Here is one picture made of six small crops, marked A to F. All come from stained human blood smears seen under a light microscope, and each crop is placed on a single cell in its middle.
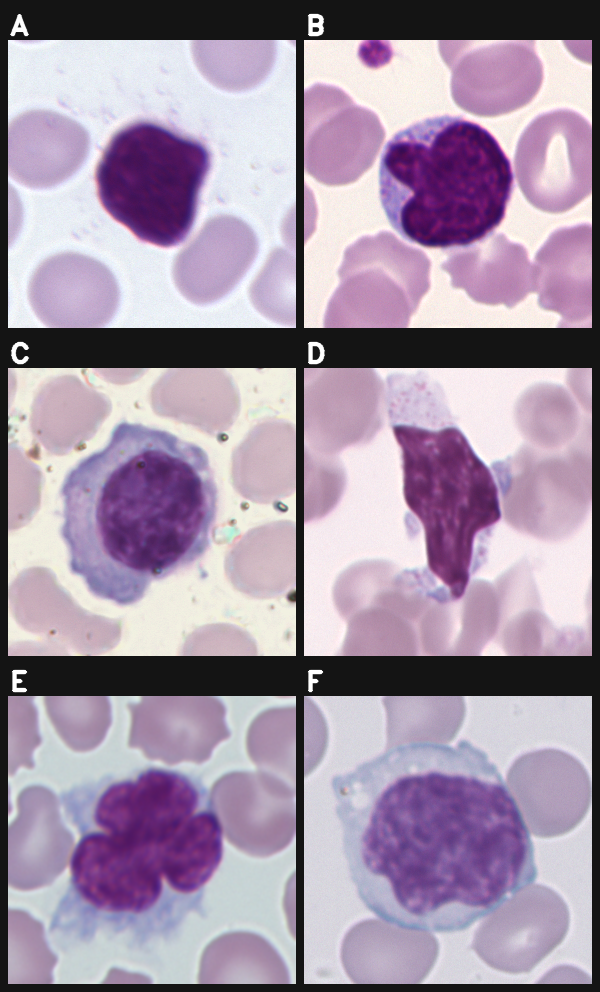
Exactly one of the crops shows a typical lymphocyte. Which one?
B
